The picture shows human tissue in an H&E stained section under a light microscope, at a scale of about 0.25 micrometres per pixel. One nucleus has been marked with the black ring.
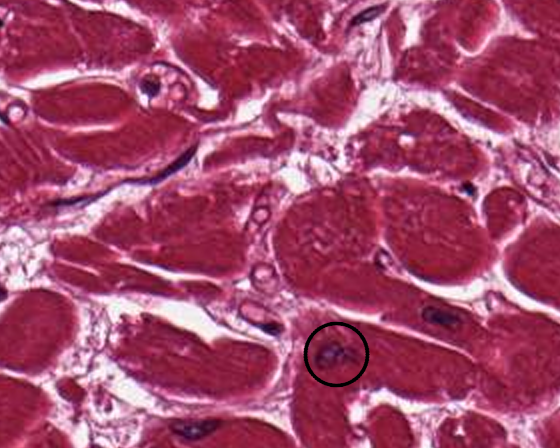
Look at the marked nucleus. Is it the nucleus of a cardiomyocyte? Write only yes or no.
yes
